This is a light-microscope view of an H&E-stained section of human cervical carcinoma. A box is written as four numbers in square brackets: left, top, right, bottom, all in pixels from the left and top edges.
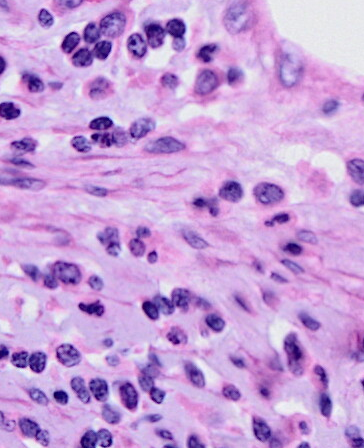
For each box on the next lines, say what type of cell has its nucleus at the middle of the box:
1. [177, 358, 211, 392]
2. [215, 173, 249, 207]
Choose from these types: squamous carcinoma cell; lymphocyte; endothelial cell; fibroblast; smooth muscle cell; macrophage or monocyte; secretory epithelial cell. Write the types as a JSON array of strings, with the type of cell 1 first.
["macrophage or monocyte", "lymphocyte"]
